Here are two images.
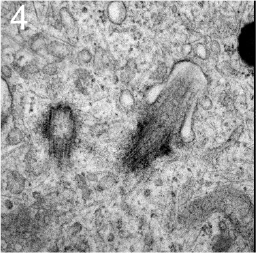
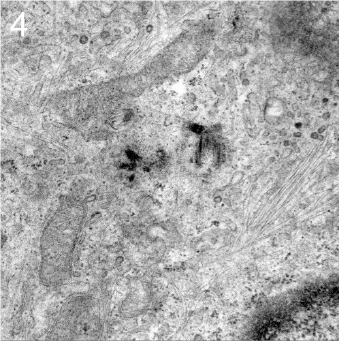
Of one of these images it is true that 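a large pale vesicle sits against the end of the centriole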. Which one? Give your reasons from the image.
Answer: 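Second image: dense centriole profiles lie in cytoplasm with no vesicle pressed on their ends. First image: a pale membrane-bound vesicle caps the upper end of the long centriole. So: the first image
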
